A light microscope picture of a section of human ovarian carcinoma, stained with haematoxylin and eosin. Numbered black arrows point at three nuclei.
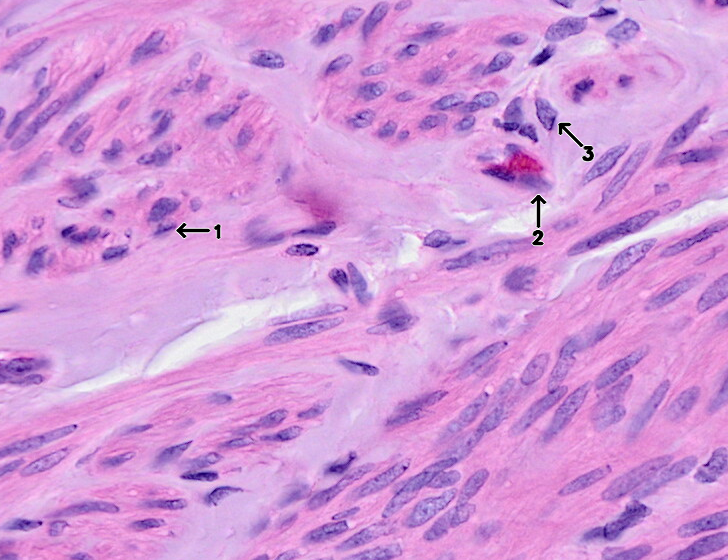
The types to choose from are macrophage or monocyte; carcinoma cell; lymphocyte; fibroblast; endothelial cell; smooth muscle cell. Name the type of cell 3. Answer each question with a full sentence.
What the number 3 marks in this field is a fibroblast.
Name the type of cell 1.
The cell marked with number 1 is a smooth muscle cell.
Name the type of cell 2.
The cell that goes by number 2 is an endothelial cell.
